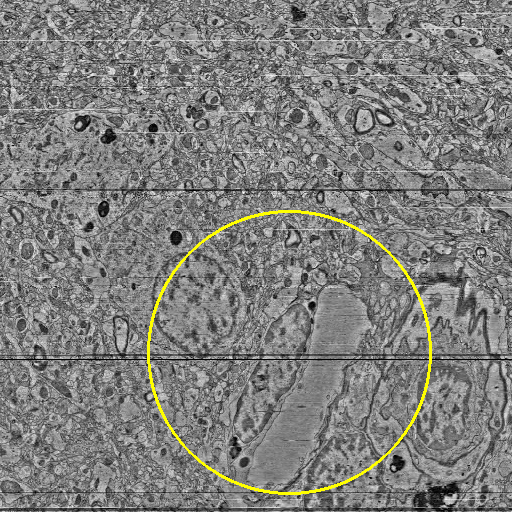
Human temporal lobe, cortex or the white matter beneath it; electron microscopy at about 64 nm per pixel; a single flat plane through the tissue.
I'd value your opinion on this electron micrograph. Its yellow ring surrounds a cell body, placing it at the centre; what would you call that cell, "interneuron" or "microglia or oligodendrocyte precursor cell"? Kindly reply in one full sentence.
It is a microglial cell or oligodendrocyte precursor cell that sits centred within the yellow ring in this micrograph.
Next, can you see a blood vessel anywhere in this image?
Yes, a blood vessel can be seen.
